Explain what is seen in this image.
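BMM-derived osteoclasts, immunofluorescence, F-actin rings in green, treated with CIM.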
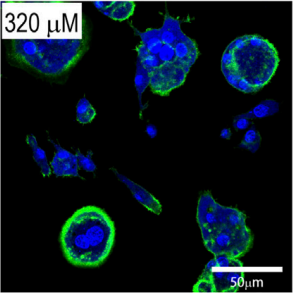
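Several cells show a bright green band around their rim enclosing a few blue nuclei, while others are small, irregular or elongated with only one or two nuclei. Large flat multinucleated cells are scarce in the field.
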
